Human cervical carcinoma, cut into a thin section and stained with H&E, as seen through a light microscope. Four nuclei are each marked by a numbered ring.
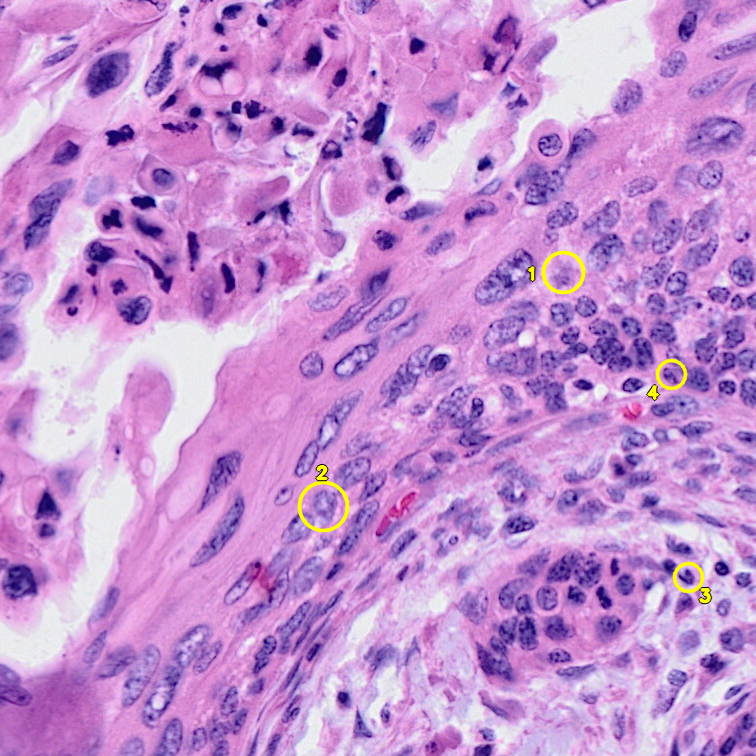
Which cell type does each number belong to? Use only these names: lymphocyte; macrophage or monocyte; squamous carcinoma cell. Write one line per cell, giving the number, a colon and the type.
1: squamous carcinoma cell
2: squamous carcinoma cell
3: lymphocyte
4: squamous carcinoma cell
